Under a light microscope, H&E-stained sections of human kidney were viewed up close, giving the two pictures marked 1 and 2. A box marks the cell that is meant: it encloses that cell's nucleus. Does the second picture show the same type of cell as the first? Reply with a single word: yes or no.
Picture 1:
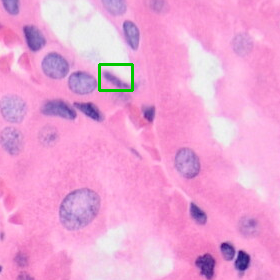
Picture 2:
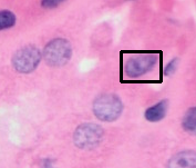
no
